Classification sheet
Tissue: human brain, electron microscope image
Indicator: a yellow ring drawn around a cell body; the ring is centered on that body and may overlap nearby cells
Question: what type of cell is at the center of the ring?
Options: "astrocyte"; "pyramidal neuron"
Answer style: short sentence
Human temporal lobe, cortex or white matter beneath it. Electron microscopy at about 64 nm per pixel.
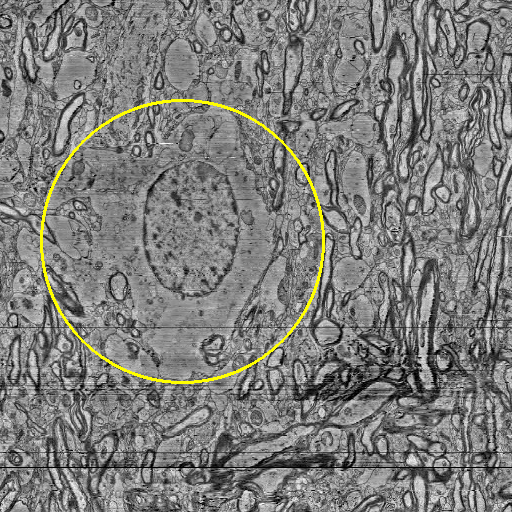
At the ring's center is an astrocyte.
